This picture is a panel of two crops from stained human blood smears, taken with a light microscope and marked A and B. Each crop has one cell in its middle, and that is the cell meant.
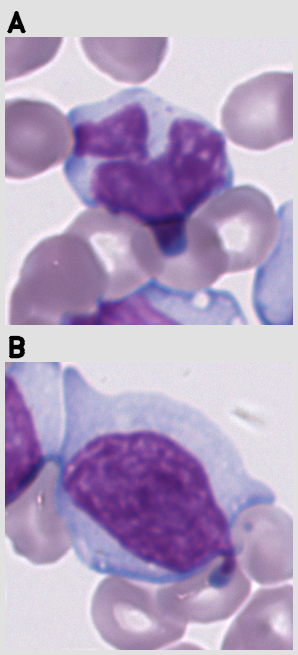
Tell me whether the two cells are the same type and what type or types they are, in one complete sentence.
Yes, the cells in both crops are myeloblasts.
